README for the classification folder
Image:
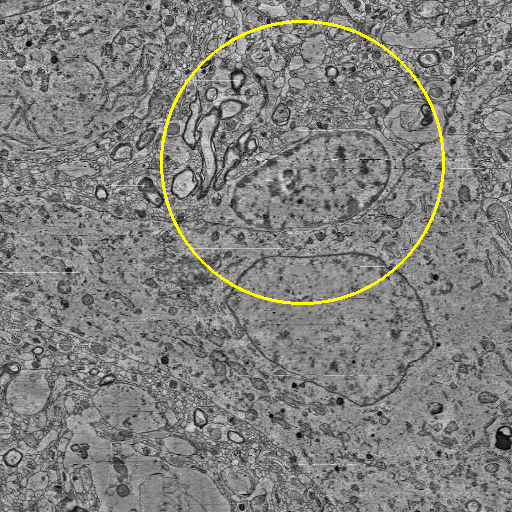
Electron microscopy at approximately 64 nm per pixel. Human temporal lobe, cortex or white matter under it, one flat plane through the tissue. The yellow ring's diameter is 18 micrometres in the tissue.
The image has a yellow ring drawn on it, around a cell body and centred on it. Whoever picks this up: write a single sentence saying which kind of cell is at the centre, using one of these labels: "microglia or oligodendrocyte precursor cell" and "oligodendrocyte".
This cell body is that of a microglial cell or oligodendrocyte precursor cell.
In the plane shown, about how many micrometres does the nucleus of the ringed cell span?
Approximately 10 x 6 micrometres in this plane.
